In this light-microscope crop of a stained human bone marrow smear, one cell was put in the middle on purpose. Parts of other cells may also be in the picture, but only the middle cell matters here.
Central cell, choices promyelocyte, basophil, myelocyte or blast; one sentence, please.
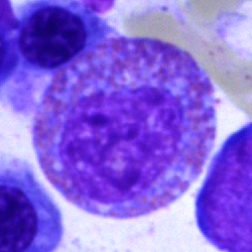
On this slide crop, the central cell is a myelocyte.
